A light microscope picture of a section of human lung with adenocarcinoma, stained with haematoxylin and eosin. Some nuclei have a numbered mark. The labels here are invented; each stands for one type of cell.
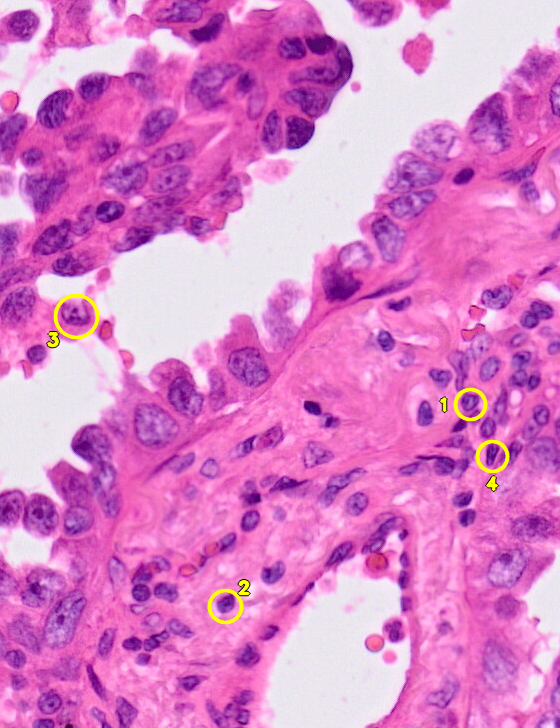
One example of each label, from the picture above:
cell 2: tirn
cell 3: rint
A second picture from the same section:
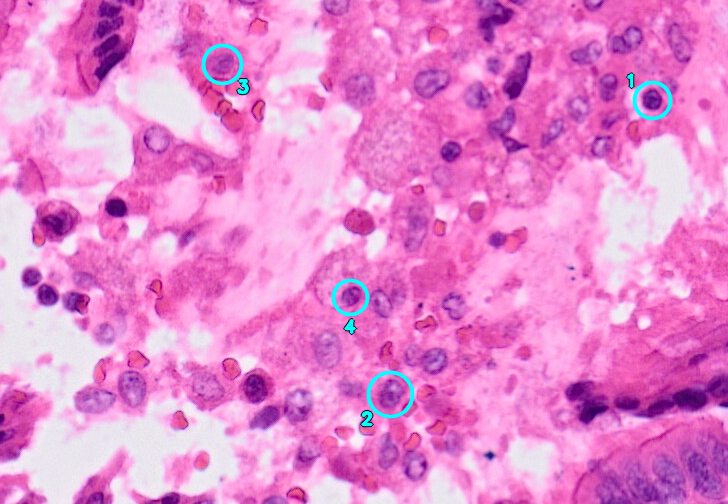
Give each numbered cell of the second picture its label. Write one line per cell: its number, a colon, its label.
1: tirn
2: rint
3: rint
4: rint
